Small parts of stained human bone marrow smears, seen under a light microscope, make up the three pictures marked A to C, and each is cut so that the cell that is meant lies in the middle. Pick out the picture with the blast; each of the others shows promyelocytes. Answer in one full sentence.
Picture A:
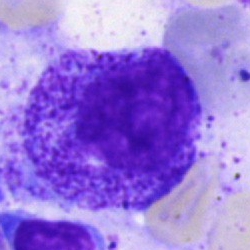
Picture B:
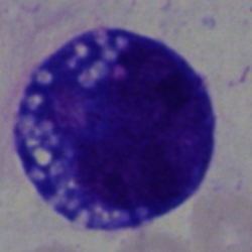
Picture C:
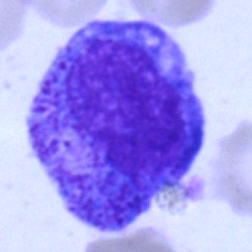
Picture B shows the blast.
